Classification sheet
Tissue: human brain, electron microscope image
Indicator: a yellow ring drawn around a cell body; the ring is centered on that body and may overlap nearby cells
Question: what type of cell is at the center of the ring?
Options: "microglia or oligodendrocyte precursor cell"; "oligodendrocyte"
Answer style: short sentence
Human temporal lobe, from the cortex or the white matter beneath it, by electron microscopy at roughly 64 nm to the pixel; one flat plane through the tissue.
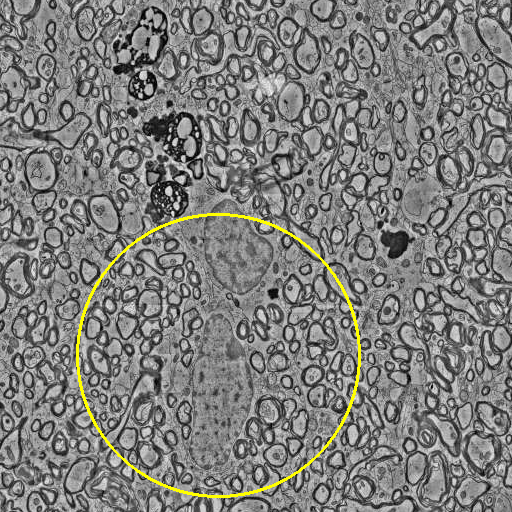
At the ring's center is a microglial cell or oligodendrocyte precursor cell.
